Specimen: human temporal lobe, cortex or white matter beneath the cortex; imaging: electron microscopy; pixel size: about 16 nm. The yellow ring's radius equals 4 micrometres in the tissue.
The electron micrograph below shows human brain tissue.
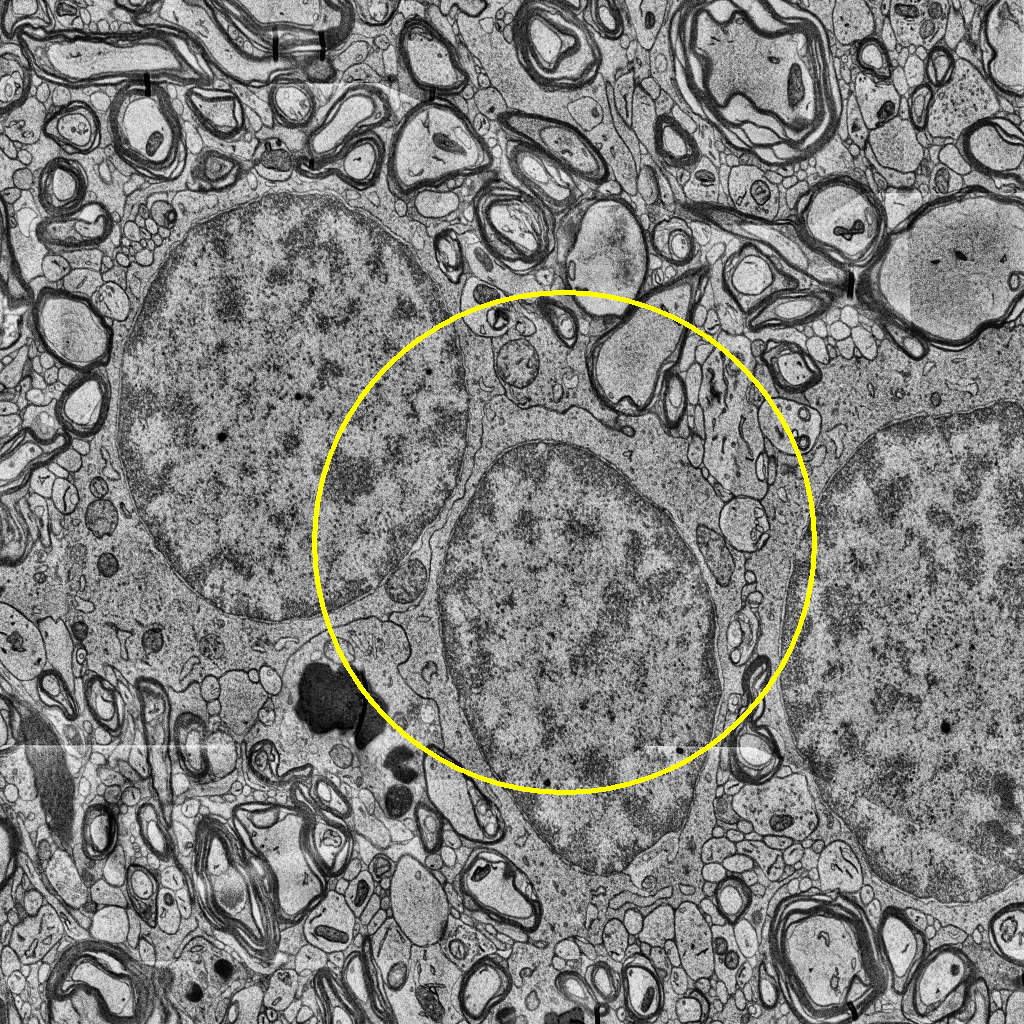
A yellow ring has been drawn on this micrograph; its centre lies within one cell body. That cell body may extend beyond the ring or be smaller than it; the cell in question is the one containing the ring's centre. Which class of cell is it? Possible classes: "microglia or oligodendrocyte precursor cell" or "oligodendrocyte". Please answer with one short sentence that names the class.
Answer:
In the centre of the ring sits an oligodendrocyte.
